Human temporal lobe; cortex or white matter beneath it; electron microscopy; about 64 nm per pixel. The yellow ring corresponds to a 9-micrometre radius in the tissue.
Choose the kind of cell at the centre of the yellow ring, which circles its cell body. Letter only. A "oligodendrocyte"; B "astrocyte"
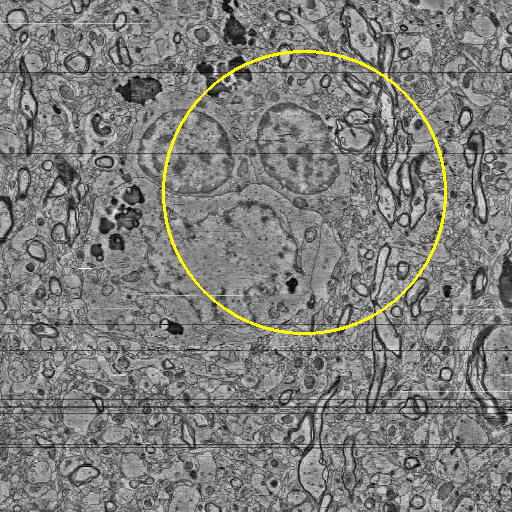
A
